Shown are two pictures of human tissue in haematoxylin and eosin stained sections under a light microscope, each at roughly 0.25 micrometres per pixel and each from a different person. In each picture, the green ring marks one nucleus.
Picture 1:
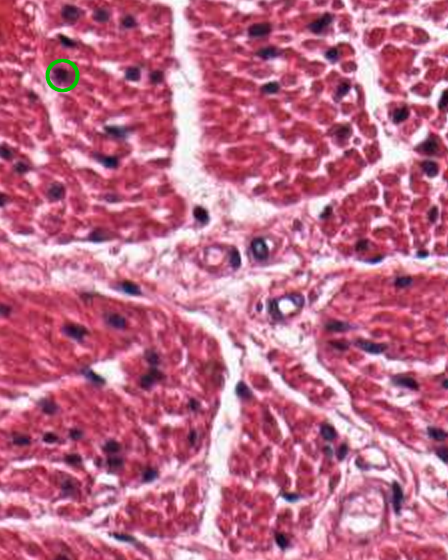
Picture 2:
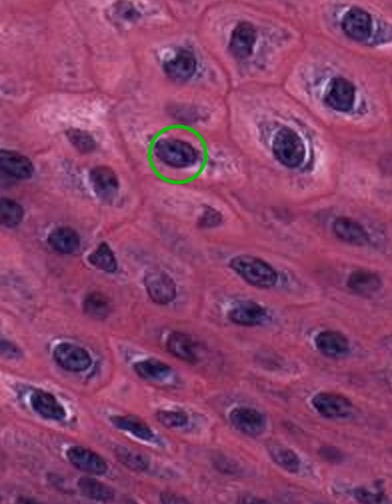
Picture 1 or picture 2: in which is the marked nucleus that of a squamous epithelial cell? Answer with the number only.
2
